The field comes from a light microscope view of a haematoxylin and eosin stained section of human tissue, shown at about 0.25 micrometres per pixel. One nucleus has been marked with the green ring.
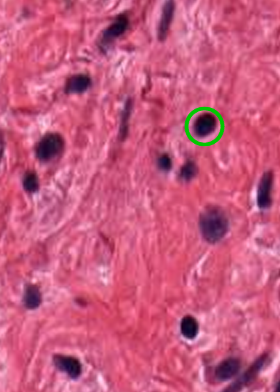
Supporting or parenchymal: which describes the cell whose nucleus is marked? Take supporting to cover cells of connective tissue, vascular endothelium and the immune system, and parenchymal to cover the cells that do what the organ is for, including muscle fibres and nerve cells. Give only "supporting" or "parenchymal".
supporting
